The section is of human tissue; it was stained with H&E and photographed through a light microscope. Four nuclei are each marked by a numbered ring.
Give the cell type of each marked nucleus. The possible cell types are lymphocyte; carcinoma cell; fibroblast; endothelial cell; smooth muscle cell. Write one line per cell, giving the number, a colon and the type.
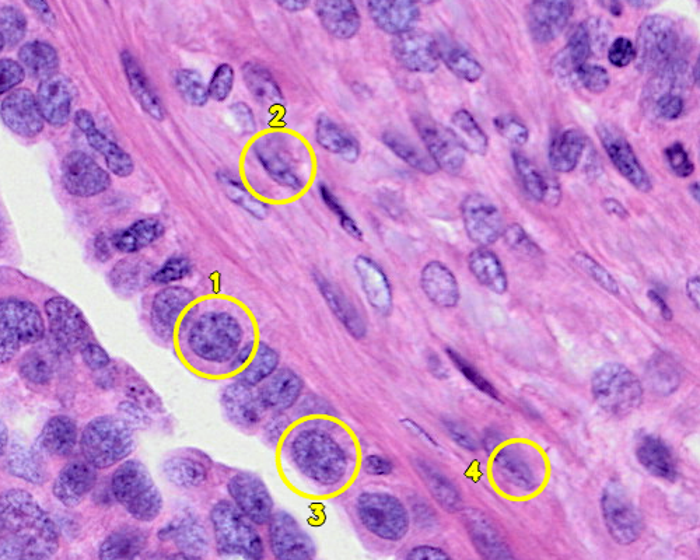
1: carcinoma cell
2: fibroblast
3: carcinoma cell
4: fibroblast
